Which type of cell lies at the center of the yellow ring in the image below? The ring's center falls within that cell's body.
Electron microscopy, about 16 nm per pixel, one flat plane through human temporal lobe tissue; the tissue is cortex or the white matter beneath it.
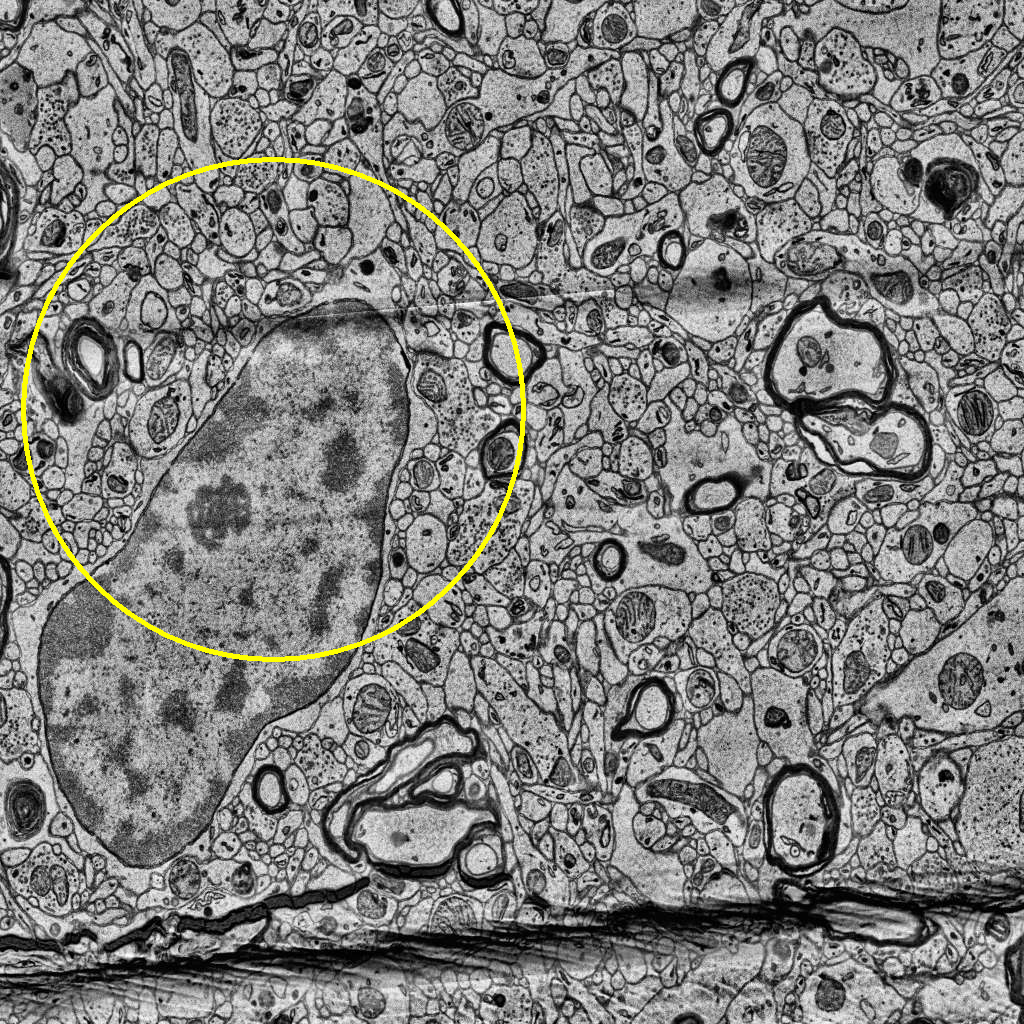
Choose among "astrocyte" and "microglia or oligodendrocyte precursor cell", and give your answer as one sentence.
The cell body at the center belongs to a microglial cell or oligodendrocyte precursor cell.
